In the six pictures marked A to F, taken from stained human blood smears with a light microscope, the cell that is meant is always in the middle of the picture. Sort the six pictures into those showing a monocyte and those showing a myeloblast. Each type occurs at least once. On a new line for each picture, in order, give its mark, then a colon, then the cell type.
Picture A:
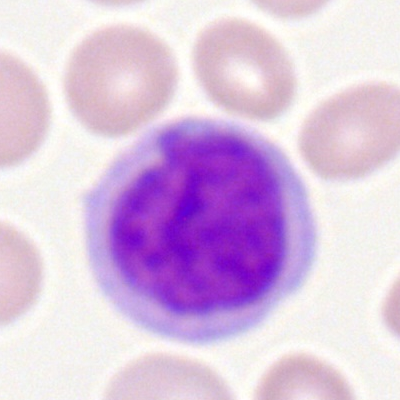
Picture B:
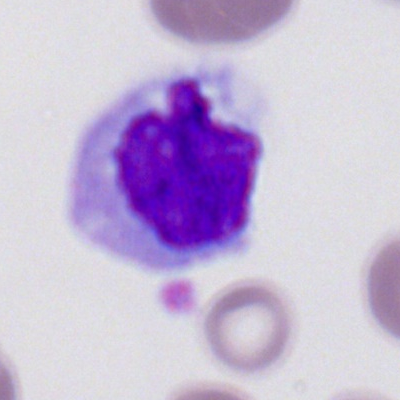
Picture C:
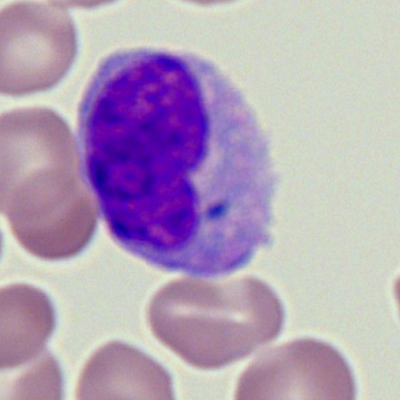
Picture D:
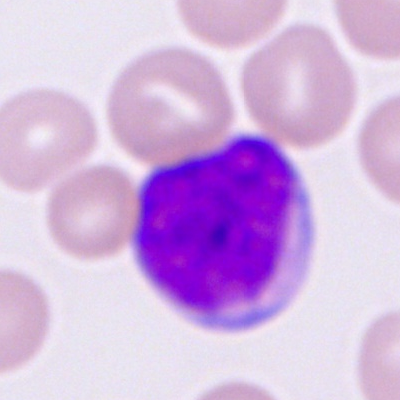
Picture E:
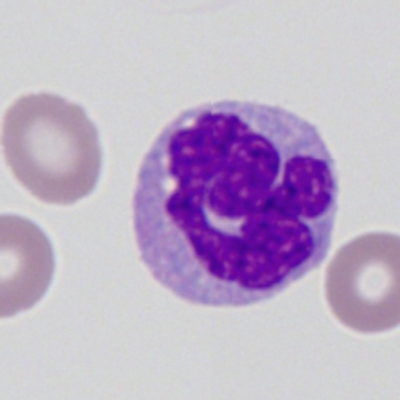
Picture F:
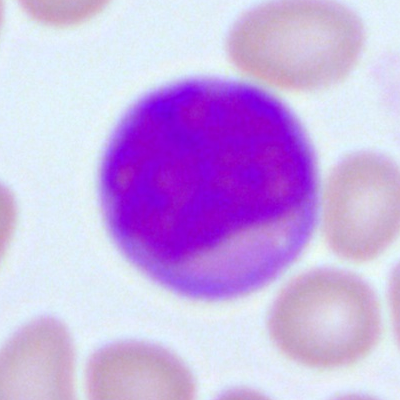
A: monocyte
B: monocyte
C: monocyte
D: myeloblast
E: monocyte
F: myeloblast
